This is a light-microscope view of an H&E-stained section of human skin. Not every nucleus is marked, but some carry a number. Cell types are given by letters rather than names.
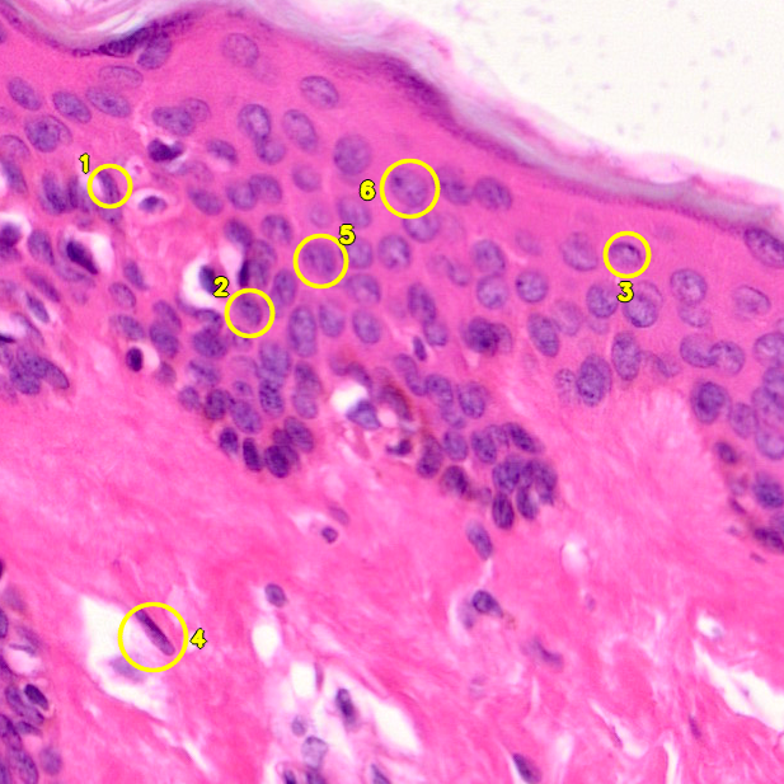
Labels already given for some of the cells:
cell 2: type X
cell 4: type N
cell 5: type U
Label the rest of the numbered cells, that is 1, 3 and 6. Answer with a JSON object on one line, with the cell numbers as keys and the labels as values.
{"1": "type X", "3": "type U", "6": "type U"}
